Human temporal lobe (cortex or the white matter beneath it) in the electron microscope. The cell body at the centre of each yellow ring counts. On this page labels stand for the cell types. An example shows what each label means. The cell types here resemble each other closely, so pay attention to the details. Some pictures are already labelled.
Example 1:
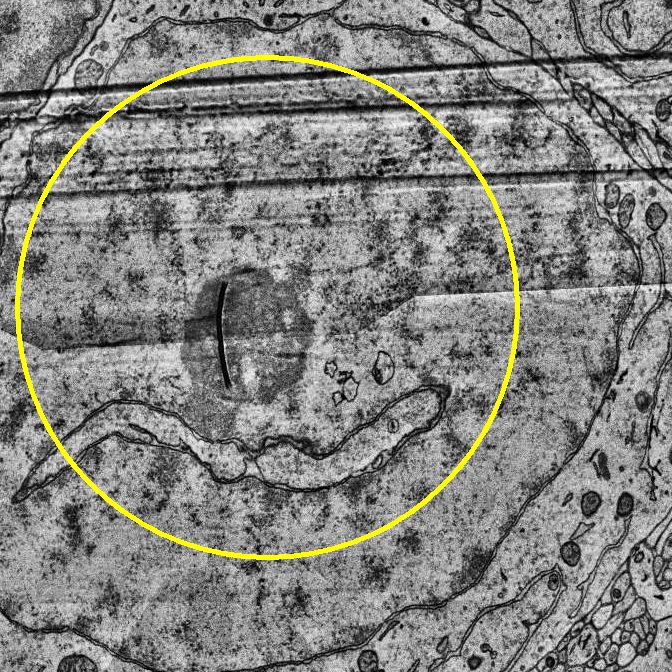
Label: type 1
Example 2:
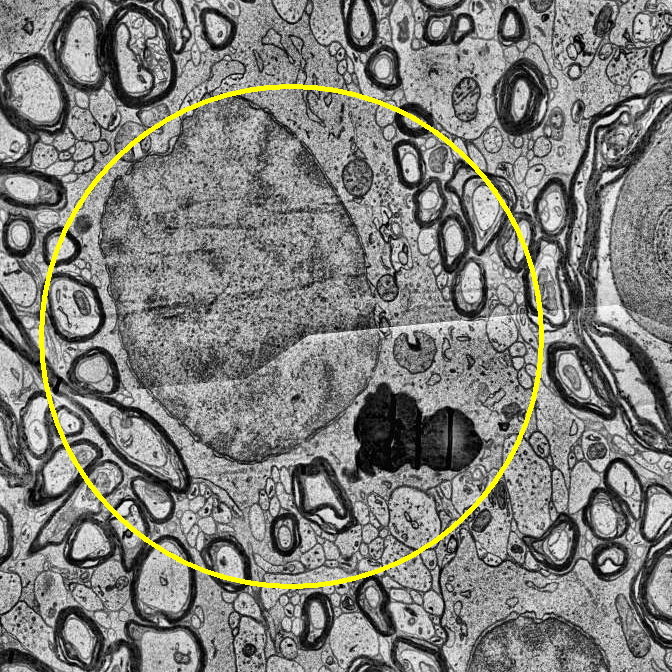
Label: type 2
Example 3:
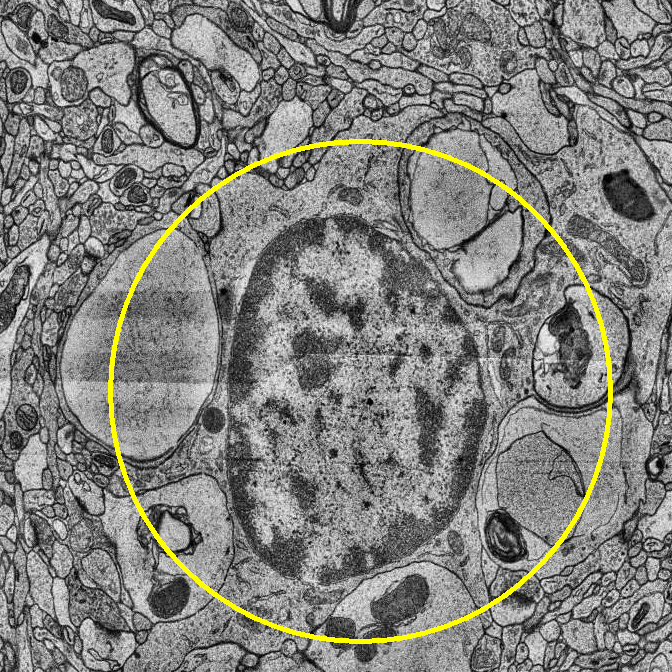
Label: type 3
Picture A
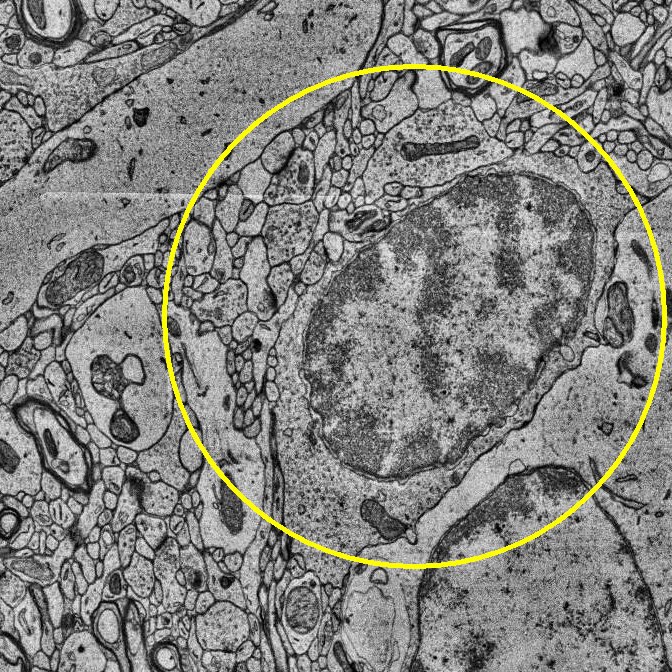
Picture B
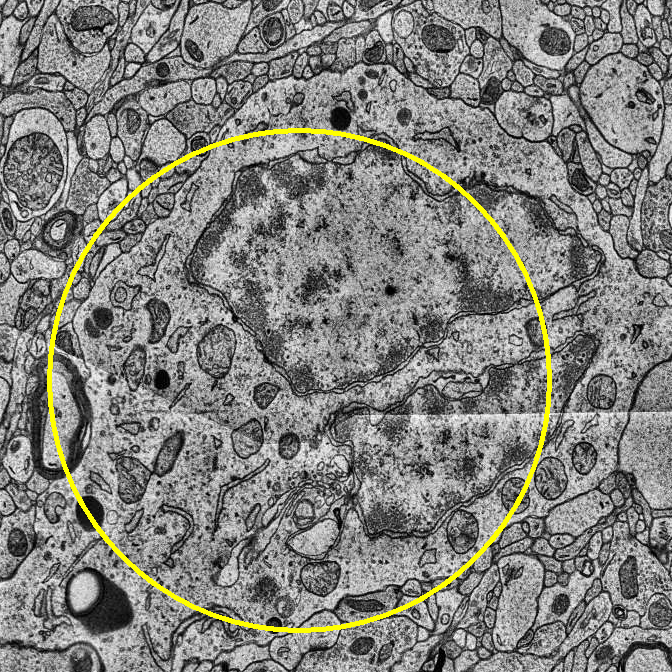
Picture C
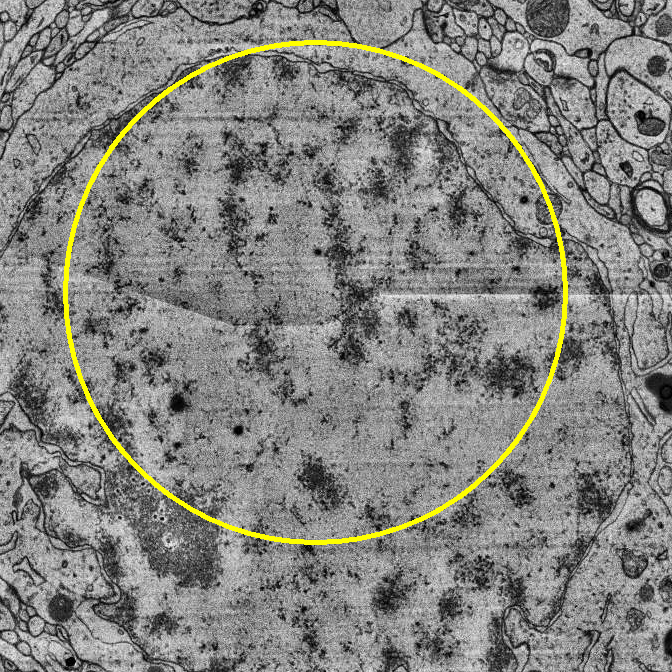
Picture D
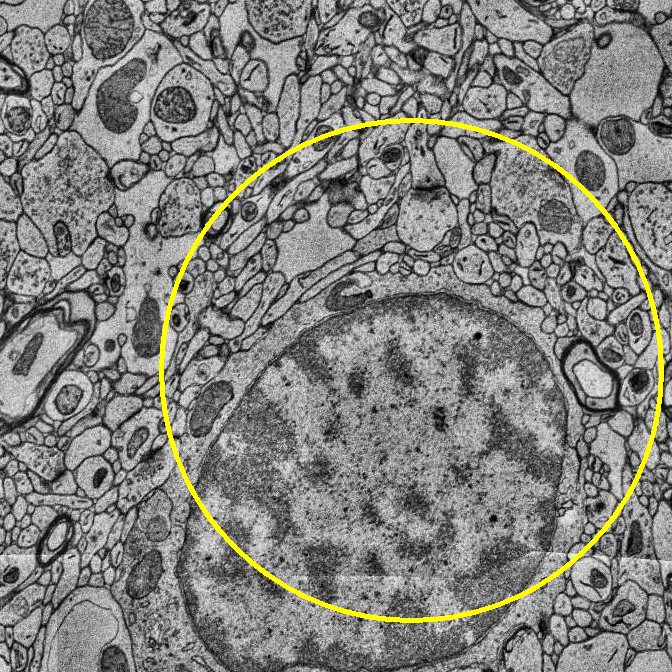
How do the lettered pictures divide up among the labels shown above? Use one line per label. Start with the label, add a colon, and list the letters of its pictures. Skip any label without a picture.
type 1: B, C
type 2: A, D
